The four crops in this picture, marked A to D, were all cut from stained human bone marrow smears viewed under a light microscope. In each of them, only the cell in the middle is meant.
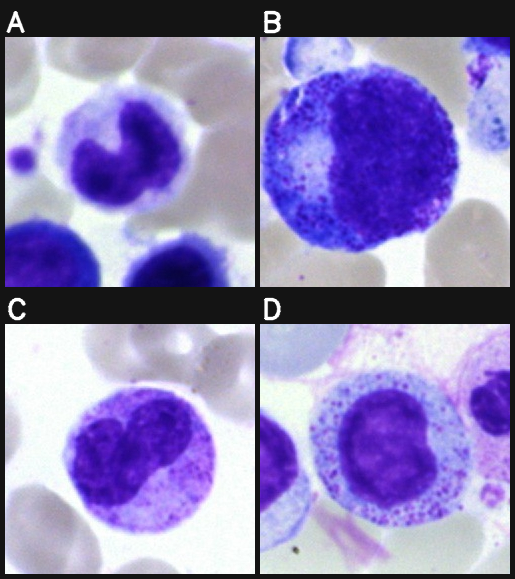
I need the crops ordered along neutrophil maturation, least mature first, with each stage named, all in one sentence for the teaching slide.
Ordered by maturity, from least to most, the crops are crop B (a promyelocyte), crop D (a myelocyte), crop C (a metamyelocyte) and crop A (a band neutrophil).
